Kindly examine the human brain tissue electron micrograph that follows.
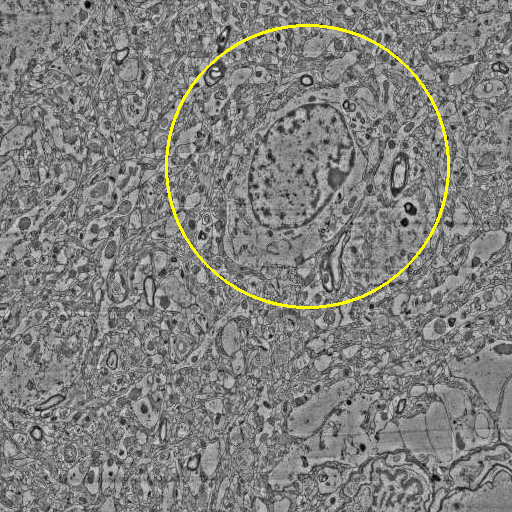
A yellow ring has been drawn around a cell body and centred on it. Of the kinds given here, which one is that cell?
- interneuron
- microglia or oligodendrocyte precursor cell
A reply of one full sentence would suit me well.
The micrograph's ringed cell, the one at the ring's centre, is a microglial cell or oligodendrocyte precursor cell.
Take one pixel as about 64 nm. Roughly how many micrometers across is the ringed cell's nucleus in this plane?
In this plane the nucleus is clearly longer than it is wide, at approximately 9 by 6 micrometres.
